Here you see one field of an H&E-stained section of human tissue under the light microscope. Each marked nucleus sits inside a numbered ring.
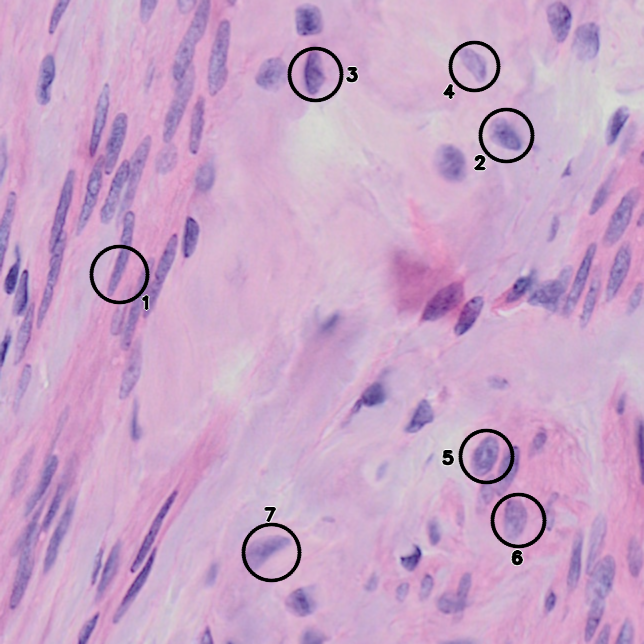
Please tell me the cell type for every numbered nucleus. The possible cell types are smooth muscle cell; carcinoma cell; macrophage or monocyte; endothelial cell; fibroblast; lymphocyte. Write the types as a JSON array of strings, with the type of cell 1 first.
["smooth muscle cell", "fibroblast", "fibroblast", "fibroblast", "smooth muscle cell", "smooth muscle cell", "fibroblast"]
